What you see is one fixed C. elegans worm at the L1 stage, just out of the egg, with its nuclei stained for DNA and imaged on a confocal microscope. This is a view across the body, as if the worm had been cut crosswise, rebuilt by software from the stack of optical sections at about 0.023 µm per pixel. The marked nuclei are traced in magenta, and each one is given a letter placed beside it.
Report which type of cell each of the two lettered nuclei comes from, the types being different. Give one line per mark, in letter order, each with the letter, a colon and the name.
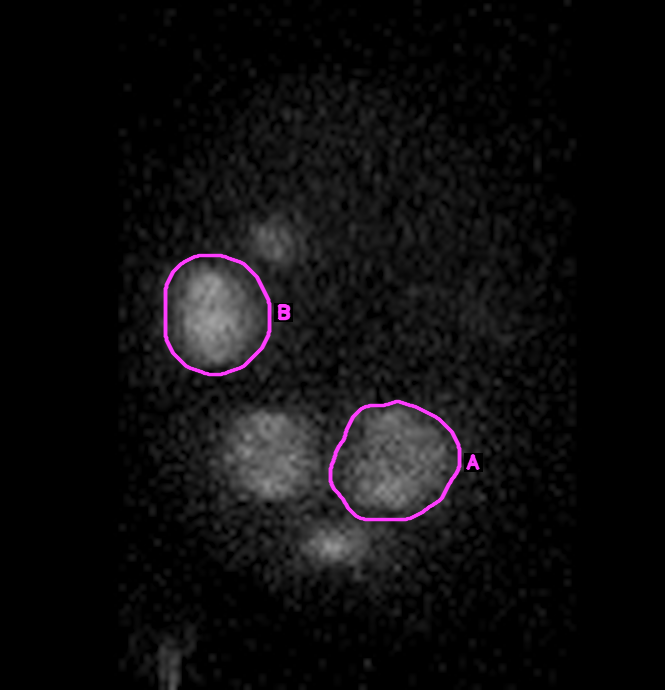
A: intestinal cell
B: hypodermal cell (hyp)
